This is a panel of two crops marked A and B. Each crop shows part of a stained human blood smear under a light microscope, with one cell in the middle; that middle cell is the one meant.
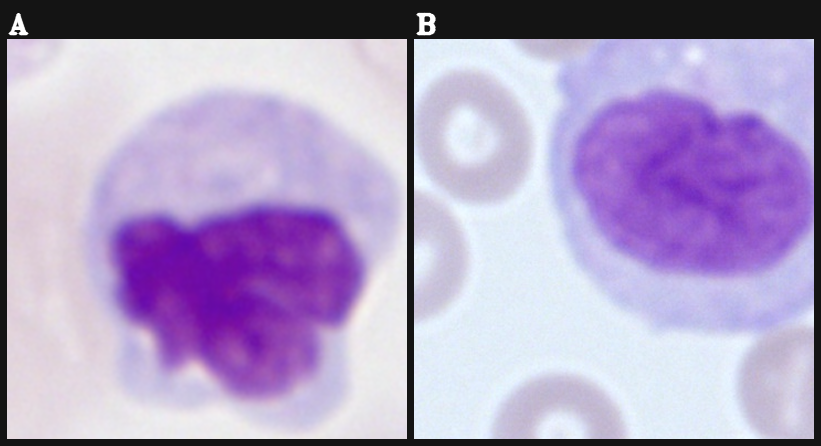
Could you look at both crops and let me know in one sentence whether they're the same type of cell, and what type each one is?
Yes, the cells at the centre of both crops are monocytes.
